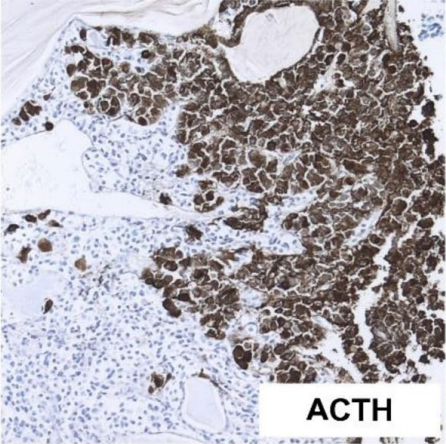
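Tumour tissue in which a large cluster of cells on the right has strong brown cytoplasm, while cells on the left are unstained with blue nuclei only. Scattered single brown cells lie among the unstained cells, and pale glassy spaces lie at the top and left.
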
